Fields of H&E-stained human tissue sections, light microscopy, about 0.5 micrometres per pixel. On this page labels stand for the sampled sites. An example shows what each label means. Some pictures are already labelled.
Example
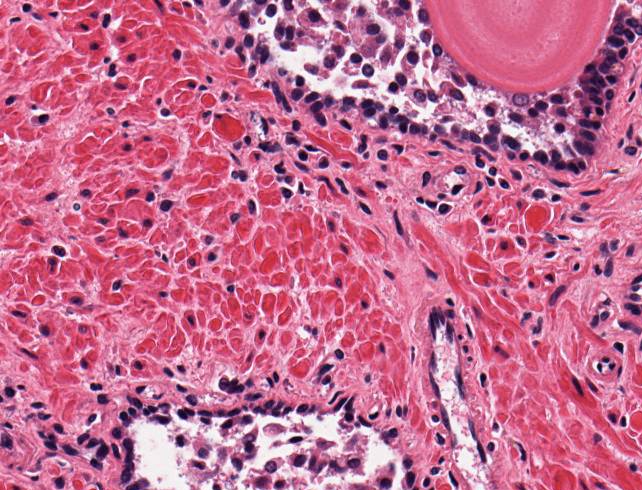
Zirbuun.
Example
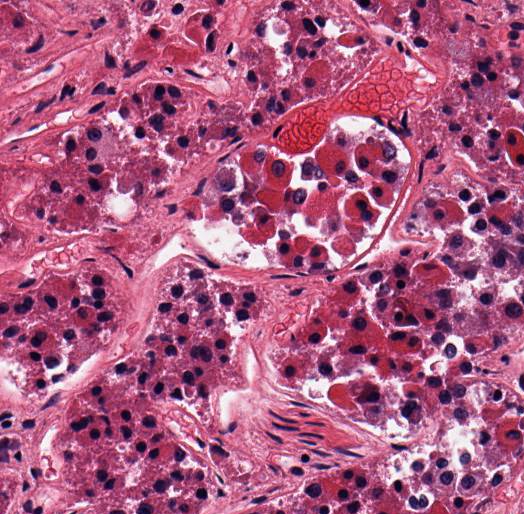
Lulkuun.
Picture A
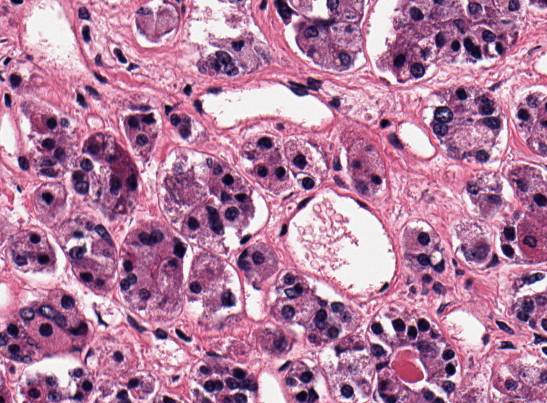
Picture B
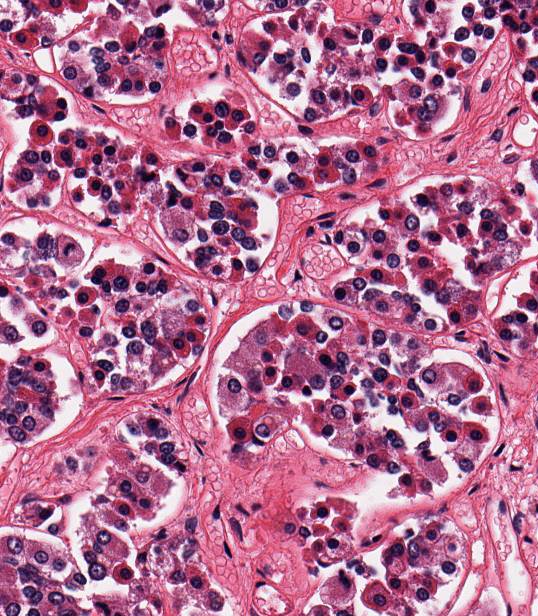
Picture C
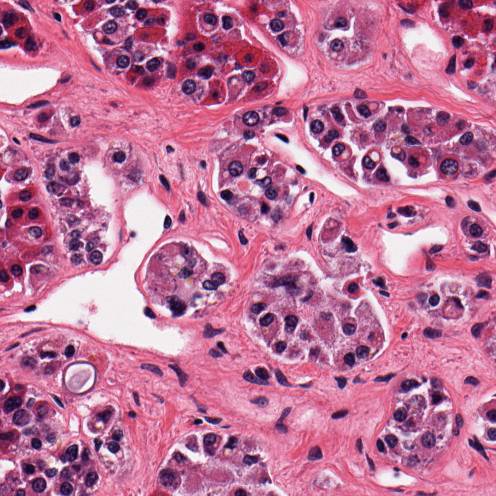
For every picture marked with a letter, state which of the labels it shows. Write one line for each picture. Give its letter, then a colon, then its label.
A: Lulkuun.
B: Lulkuun.
C: Lulkuun.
